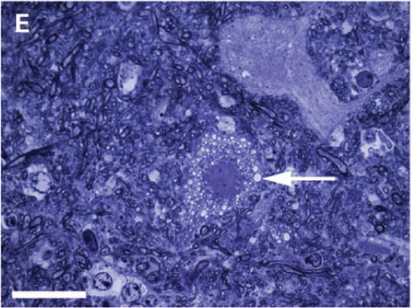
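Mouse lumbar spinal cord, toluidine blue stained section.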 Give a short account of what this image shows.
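The vacuoles form a foamy ring around a denser central region of the cell body. The surrounding neuropil is crowded with small cross-sectioned myelinated fibres seen as dark rings, and with scattered smaller cell profiles. At the upper right lies another large, paler, finely textured cell body without such vacuoles, which contrasts with the vacuolated neuron. The clustered vacuoles in the neuron's cytoplasm are an abnormal, degenerative appearance.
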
